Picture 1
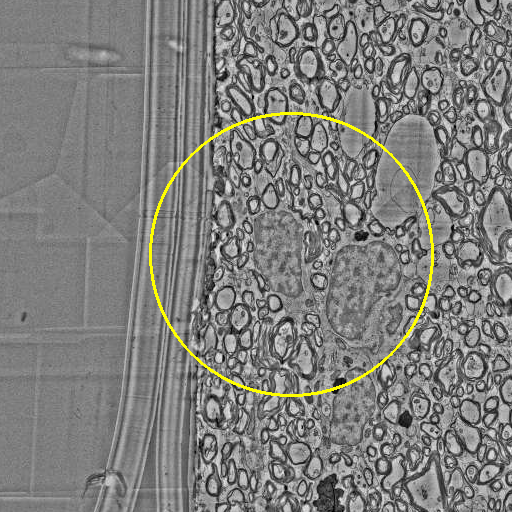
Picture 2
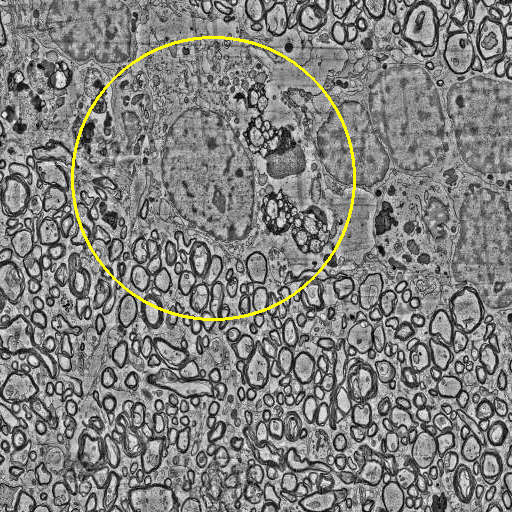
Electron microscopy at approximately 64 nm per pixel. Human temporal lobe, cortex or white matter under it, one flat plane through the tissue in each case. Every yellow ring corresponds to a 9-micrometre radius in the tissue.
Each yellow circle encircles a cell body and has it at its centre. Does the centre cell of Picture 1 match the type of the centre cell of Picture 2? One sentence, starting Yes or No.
No, the cell centred in Picture 1 and the one in Picture 2 have separate types.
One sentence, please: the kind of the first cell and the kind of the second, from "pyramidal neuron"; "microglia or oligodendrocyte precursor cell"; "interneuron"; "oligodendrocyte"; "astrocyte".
The ring in the first picture surrounds an oligodendrocyte, and the ring in the second surrounds an astrocyte.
